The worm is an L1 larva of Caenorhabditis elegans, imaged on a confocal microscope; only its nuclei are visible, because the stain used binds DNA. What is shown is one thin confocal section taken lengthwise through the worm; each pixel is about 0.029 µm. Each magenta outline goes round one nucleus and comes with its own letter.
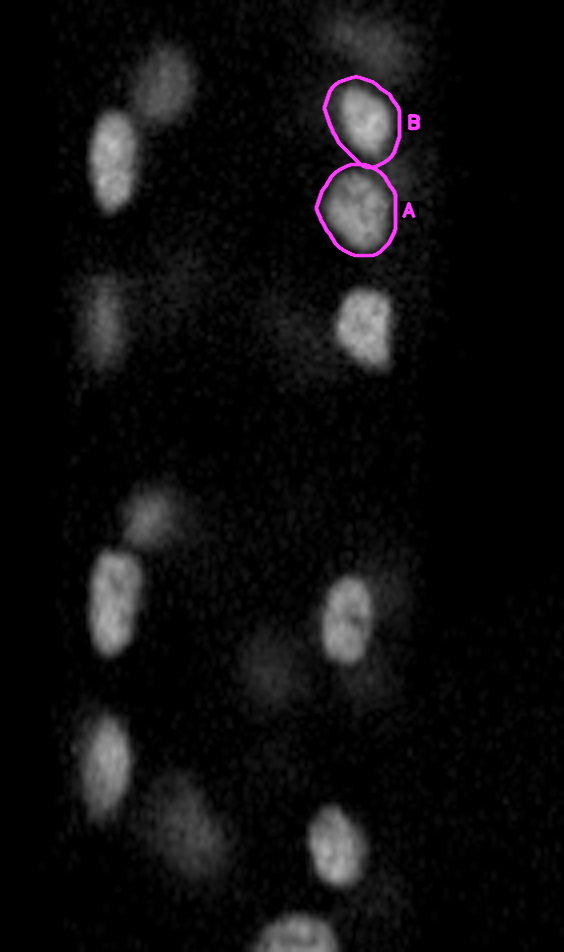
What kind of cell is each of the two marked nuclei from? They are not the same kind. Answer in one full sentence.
One is from a body wall muscle cell, namely A, and the other, B, is from a coelomocyte.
